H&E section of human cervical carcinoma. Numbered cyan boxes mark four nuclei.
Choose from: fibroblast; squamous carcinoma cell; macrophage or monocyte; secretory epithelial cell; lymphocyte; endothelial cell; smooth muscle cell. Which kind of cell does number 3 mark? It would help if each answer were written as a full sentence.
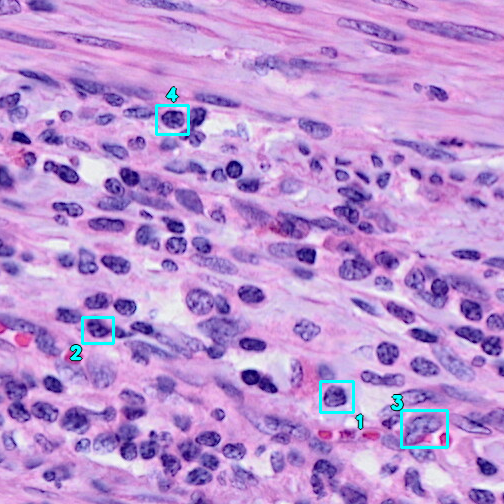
Among the marked cells, number 3 is an endothelial cell.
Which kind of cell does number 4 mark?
Regarding cell 4, this one is a lymphocyte.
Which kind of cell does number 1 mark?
Cell number 1 in this section is a lymphocyte.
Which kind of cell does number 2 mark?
The nucleus with number 2 is that of a lymphocyte.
